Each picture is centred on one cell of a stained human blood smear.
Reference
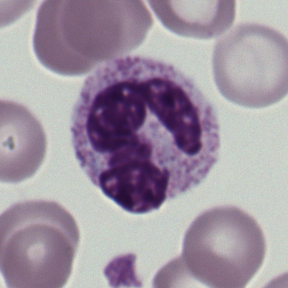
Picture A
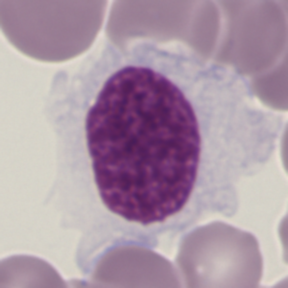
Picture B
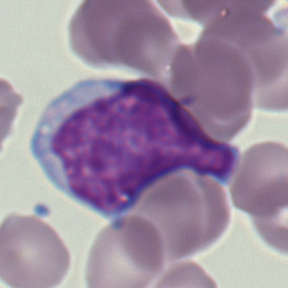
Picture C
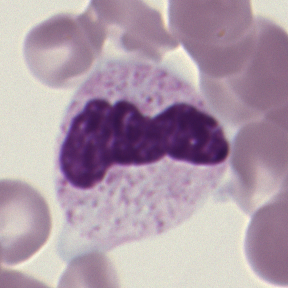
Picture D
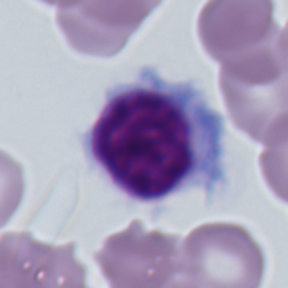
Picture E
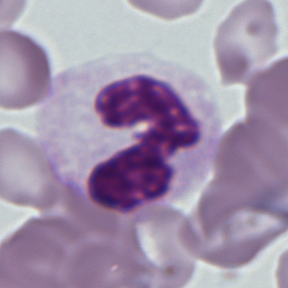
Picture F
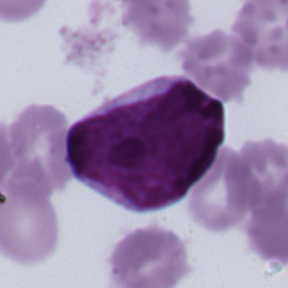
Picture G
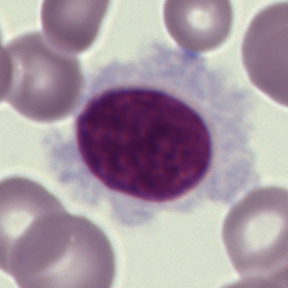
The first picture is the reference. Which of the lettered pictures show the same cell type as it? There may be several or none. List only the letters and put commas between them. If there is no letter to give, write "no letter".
C, E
